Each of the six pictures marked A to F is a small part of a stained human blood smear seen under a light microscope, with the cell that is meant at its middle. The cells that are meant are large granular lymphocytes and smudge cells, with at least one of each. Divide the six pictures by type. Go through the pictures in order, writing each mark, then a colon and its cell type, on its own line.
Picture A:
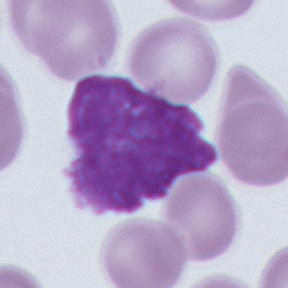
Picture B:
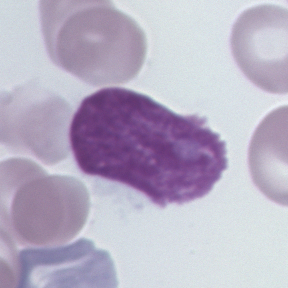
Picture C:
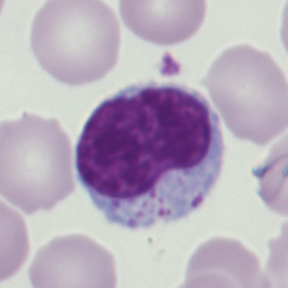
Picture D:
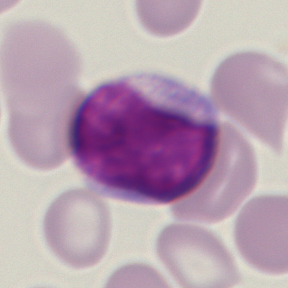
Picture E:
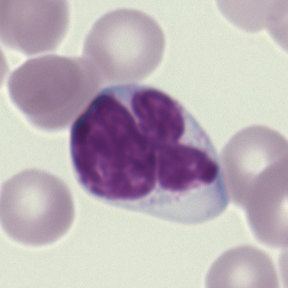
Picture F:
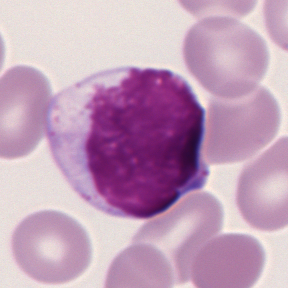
A: smudge cell
B: smudge cell
C: large granular lymphocyte
D: large granular lymphocyte
E: large granular lymphocyte
F: large granular lymphocyte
